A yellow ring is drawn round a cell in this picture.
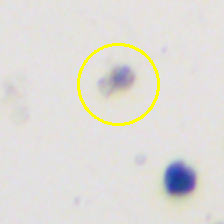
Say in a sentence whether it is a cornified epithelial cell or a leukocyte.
The cell in the ring is a leukocyte.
